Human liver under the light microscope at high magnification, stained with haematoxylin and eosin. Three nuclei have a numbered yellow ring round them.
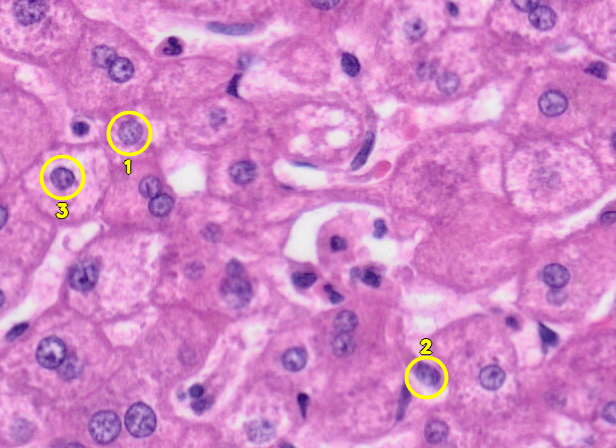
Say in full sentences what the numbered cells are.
Cell 1 is a hepatocyte, cell 2 is a Kupffer cell and cell 3 is a hepatocyte.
